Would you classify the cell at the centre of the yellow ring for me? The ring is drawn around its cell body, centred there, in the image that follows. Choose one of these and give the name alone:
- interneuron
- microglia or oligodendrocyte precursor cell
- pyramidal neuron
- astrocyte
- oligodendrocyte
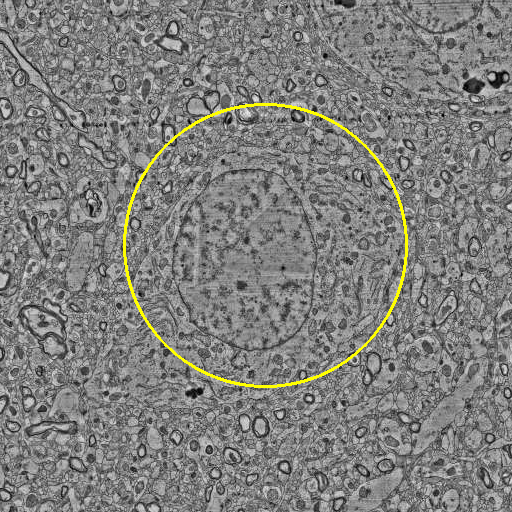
interneuron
